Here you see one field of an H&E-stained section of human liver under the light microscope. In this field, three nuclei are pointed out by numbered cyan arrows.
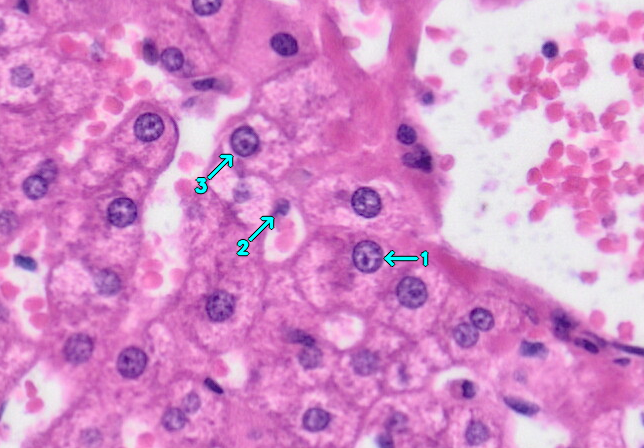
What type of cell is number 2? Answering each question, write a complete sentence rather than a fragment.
Cell 2 is classified as a Kupffer cell.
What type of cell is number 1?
Of the numbered cells, the one labelled 1 is a hepatocyte.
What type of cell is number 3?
In this section, the cell tagged 3 is a hepatocyte.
